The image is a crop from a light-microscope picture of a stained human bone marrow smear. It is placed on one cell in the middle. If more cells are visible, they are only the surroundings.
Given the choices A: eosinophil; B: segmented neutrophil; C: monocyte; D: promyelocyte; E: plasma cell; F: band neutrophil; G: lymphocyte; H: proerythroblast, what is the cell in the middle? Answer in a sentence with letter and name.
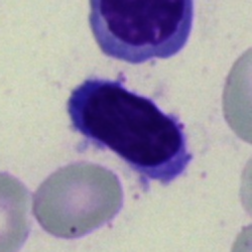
The centrally located cell is a lymphocyte, making option G the correct choice.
